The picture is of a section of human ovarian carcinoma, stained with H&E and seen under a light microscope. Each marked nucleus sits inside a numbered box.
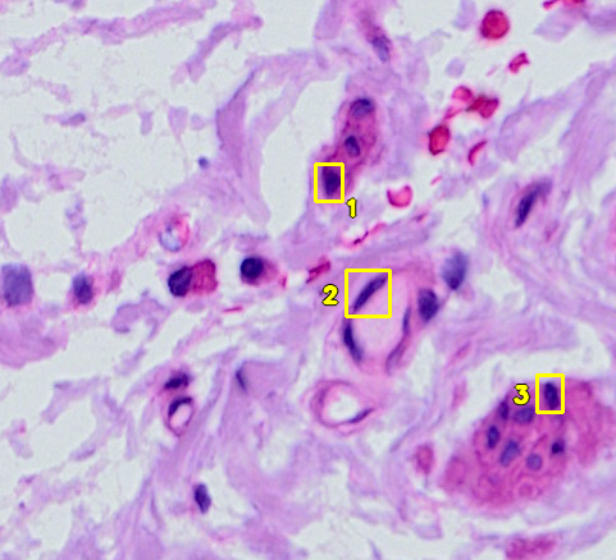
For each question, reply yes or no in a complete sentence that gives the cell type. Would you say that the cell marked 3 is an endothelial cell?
No, cell number 3 is identified as a smooth muscle cell, not as an endothelial cell.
